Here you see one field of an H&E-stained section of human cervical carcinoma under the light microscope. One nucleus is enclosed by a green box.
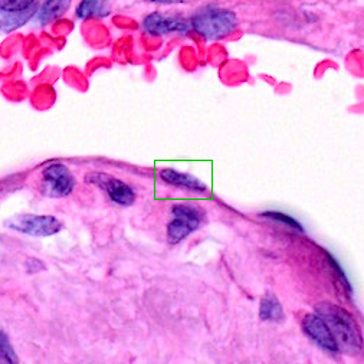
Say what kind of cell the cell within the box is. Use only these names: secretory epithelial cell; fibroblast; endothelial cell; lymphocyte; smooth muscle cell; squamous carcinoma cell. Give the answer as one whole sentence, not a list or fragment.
Histopathologically, the cell within the box is an endothelial cell.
